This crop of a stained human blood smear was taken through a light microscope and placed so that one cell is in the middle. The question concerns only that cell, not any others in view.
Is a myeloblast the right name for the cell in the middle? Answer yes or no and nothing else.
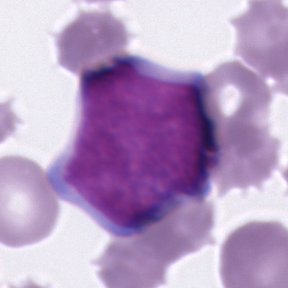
yes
